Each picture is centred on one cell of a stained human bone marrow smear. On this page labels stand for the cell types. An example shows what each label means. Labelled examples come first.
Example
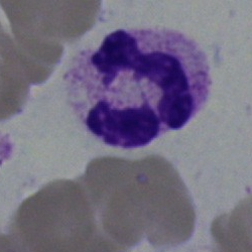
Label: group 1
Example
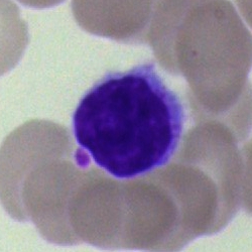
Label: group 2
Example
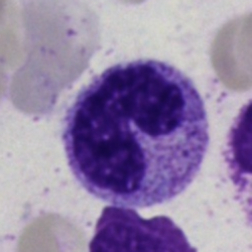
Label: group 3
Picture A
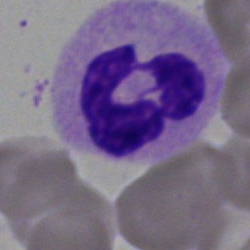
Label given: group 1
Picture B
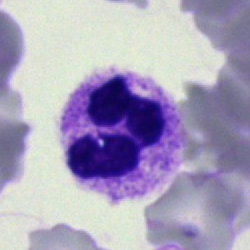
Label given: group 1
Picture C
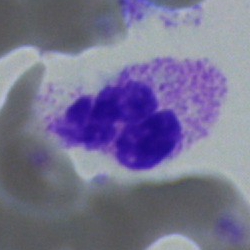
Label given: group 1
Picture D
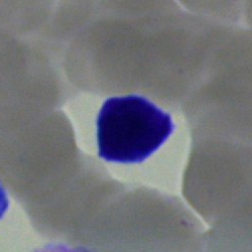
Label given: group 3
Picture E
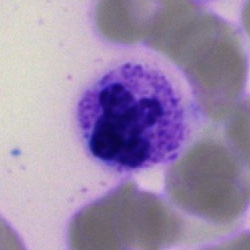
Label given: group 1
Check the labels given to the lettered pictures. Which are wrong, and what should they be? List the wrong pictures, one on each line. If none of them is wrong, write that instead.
Wrong: D (group 3); correct: group 2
